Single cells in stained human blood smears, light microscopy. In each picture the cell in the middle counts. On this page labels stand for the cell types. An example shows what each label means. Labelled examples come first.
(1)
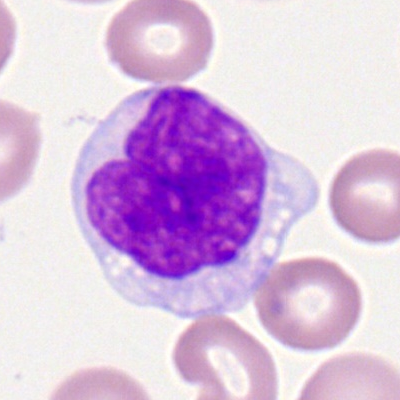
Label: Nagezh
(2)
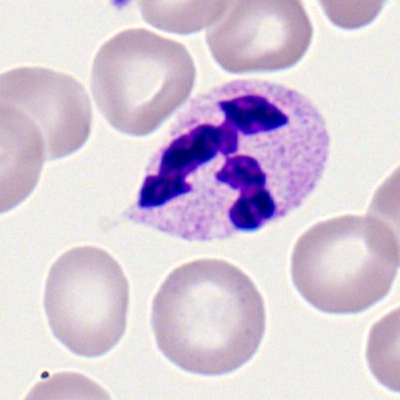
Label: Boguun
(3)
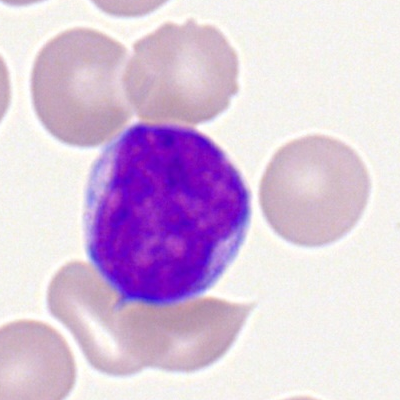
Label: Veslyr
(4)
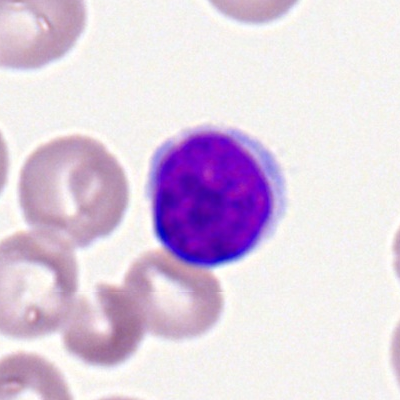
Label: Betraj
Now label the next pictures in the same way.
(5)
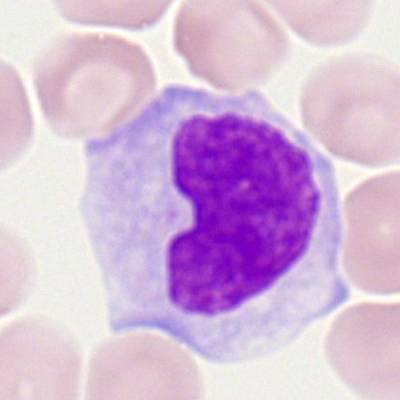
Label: Nagezh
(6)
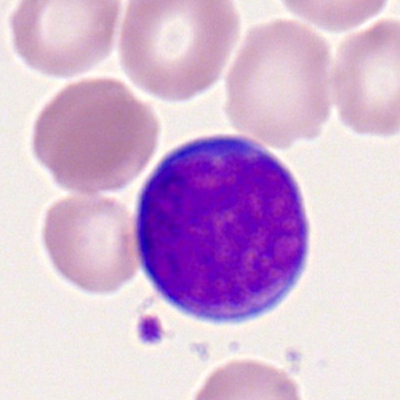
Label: Veslyr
